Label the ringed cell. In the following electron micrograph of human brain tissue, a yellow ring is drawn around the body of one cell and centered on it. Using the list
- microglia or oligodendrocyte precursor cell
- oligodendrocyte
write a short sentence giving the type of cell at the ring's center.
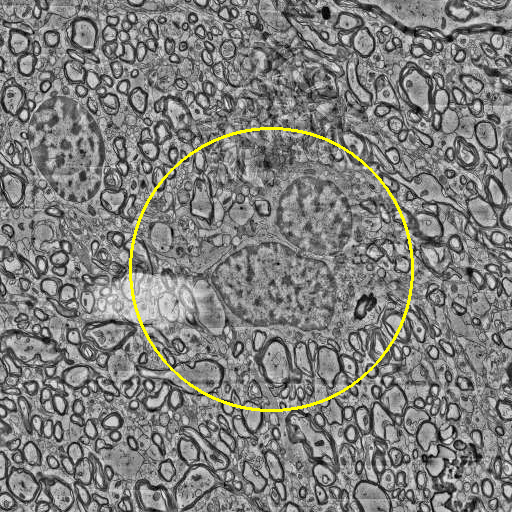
The cell body at the ring's center is that of an oligodendrocyte.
